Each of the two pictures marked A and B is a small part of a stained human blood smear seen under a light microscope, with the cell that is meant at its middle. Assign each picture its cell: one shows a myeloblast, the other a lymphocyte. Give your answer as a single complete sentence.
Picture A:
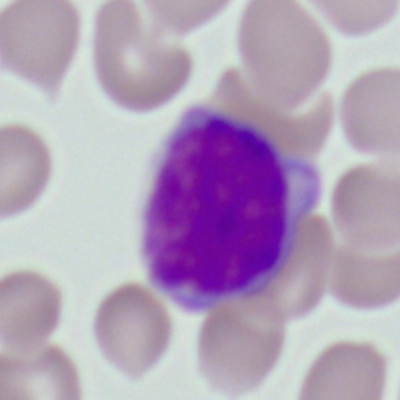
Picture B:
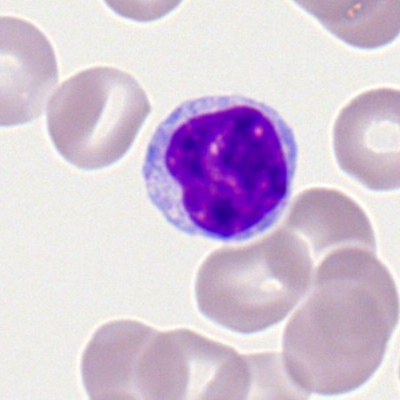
Picture A shows a myeloblast and picture B shows a lymphocyte.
